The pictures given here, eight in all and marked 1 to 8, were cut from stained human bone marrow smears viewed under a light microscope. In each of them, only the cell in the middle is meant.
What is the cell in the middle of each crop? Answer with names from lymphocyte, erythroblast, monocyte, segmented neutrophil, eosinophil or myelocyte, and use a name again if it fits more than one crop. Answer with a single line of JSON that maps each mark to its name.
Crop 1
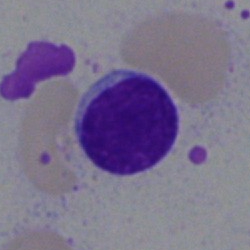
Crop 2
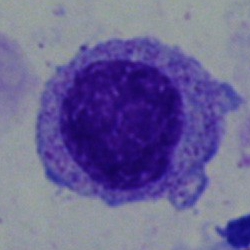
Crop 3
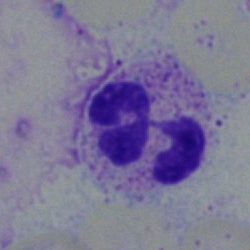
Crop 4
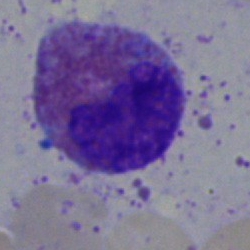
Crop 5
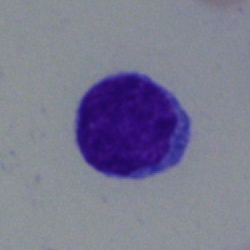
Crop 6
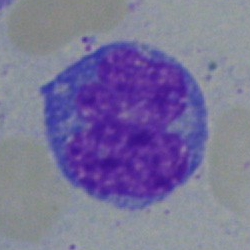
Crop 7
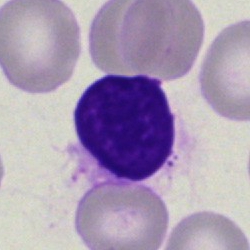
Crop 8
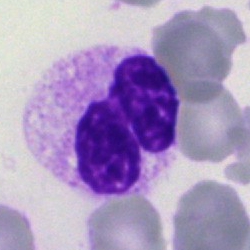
{"1": "lymphocyte", "2": "myelocyte", "3": "segmented neutrophil", "4": "eosinophil", "5": "lymphocyte", "6": "monocyte", "7": "lymphocyte", "8": "segmented neutrophil"}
